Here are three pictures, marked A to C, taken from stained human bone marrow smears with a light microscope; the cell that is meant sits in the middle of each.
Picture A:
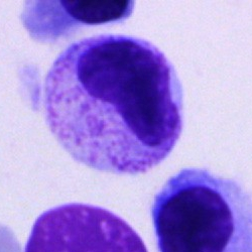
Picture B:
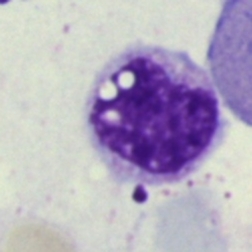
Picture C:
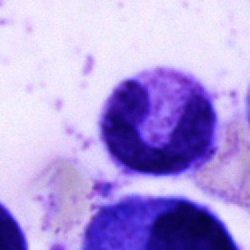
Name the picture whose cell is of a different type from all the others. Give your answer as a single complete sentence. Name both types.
The different one is picture C; it shows a band neutrophil, whereas all the others show metamyelocytes.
